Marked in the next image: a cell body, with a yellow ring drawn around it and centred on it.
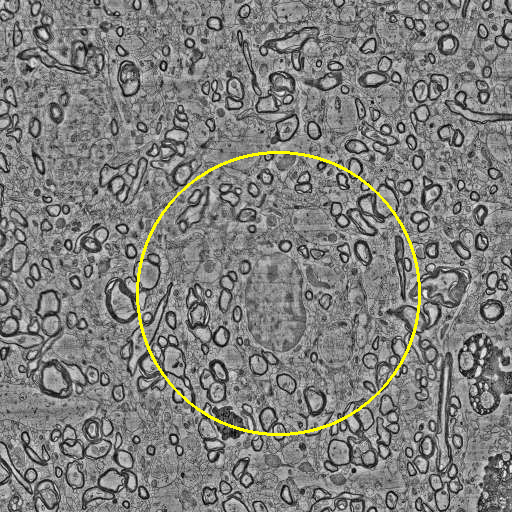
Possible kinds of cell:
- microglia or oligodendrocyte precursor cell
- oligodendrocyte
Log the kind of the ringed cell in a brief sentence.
The ringed cell body is that of a microglial cell or oligodendrocyte precursor cell.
